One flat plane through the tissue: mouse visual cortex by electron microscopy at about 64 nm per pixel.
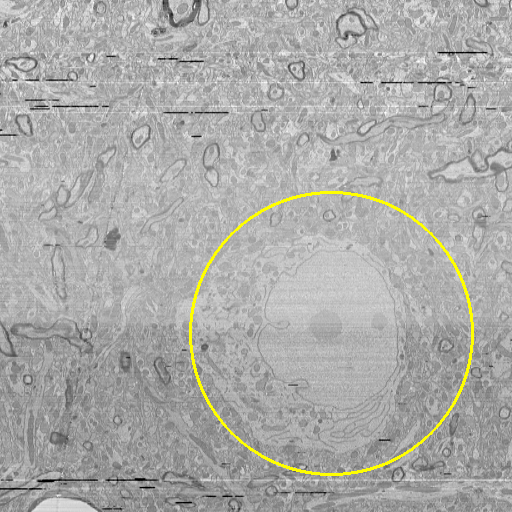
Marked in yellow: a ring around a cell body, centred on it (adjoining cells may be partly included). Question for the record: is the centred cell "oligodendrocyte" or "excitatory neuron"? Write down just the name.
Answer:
excitatory neuron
